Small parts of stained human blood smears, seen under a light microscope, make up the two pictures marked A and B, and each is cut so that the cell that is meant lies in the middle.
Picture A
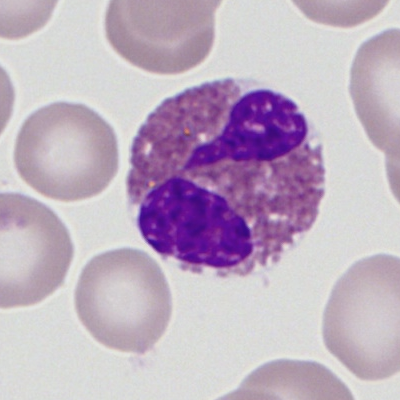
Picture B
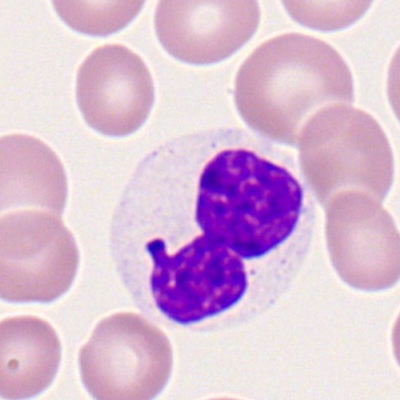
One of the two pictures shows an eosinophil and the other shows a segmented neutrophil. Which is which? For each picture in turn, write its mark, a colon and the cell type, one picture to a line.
A: eosinophil
B: segmented neutrophil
